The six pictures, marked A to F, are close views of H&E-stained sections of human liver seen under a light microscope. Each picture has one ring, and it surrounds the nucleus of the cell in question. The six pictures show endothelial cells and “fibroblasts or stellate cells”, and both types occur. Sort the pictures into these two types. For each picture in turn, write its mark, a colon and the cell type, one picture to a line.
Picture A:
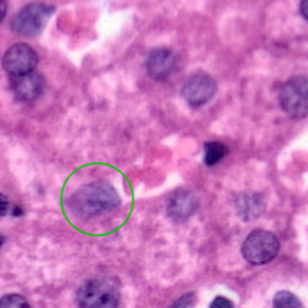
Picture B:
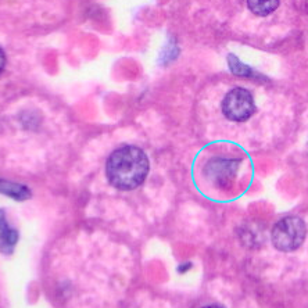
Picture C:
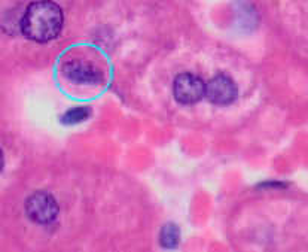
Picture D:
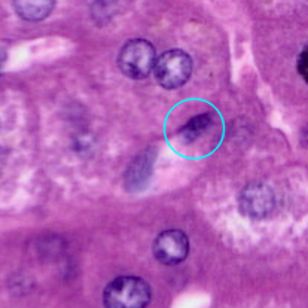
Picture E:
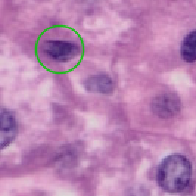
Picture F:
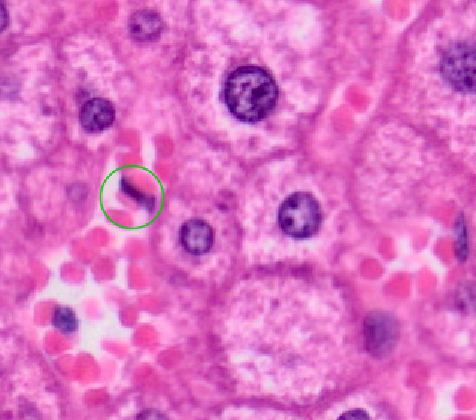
A: endothelial cell
B: endothelial cell
C: fibroblast or stellate cell
D: fibroblast or stellate cell
E: fibroblast or stellate cell
F: endothelial cell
